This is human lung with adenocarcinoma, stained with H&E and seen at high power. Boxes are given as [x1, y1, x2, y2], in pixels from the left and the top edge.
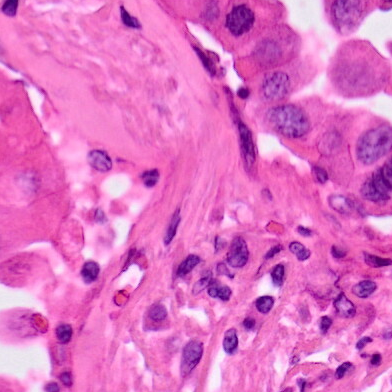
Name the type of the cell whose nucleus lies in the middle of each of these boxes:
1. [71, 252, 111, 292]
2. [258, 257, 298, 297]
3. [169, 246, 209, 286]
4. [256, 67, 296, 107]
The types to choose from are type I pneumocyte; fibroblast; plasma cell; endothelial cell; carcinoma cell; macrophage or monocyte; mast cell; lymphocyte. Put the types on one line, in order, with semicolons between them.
lymphocyte; plasma cell; plasma cell; carcinoma cell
